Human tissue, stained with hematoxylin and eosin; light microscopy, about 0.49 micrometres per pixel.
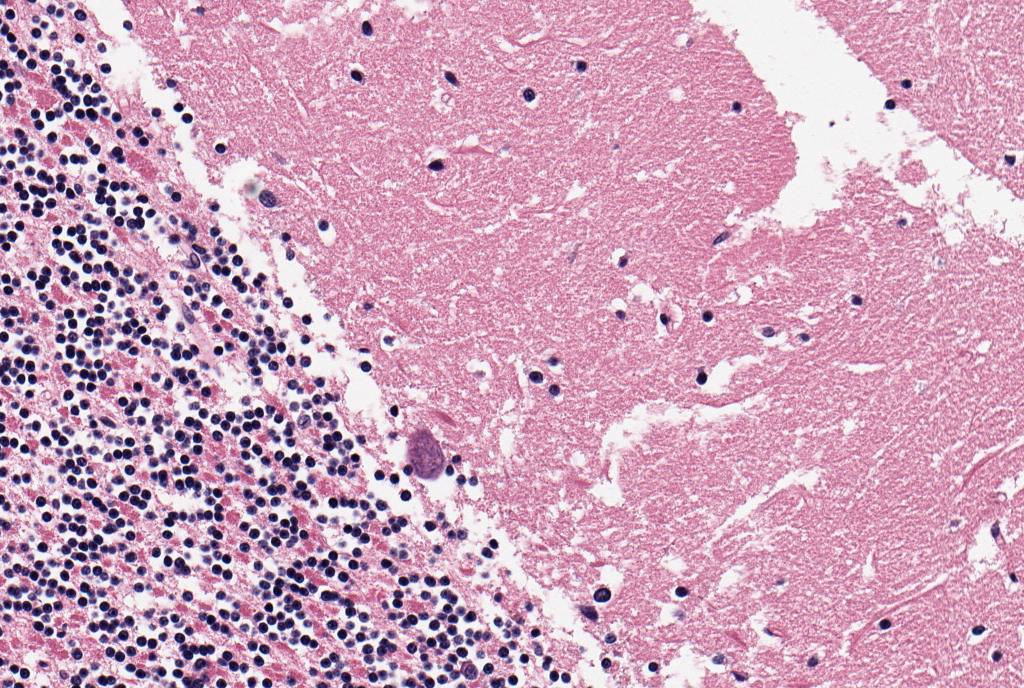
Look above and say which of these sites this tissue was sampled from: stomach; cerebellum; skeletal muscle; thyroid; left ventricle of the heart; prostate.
cerebellum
